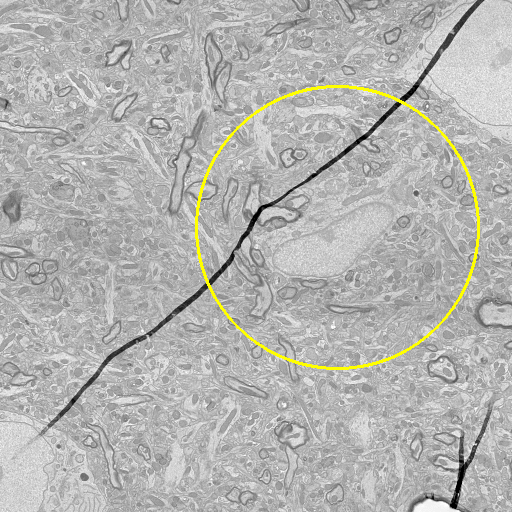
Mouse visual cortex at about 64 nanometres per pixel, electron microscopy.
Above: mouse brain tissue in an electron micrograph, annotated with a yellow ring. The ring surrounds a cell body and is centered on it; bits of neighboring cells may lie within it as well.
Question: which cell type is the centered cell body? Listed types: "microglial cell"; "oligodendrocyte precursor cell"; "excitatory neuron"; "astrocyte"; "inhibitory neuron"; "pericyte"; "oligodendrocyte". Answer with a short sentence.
The centered cell body is an astrocyte.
